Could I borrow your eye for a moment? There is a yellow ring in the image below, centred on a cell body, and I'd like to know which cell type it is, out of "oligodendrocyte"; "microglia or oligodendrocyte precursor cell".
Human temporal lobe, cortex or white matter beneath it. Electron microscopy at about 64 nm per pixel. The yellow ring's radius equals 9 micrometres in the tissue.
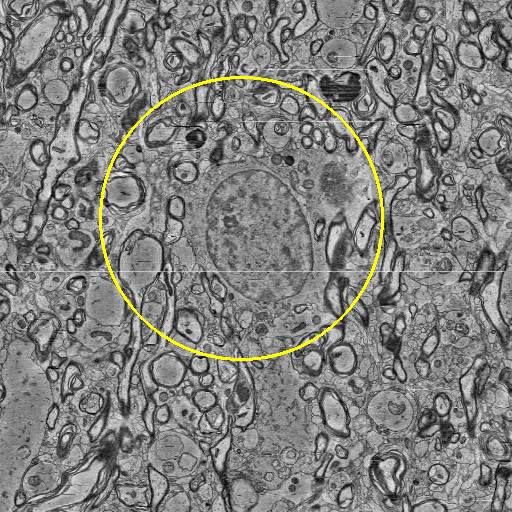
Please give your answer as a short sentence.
The cell body at the centre is that of an oligodendrocyte.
